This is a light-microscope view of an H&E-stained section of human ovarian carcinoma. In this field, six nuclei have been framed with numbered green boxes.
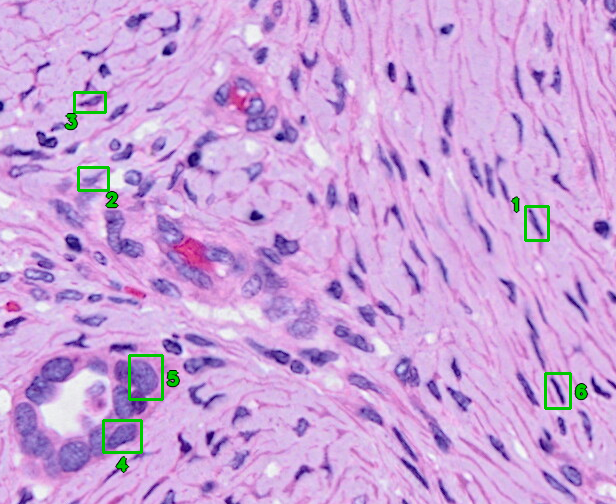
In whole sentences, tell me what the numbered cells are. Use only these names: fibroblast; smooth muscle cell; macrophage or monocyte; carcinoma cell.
Cell 1 is a fibroblast, cell 2 is a fibroblast, cell 3 is a fibroblast, cell 4 is a carcinoma cell, cell 5 is a carcinoma cell and cell 6 is a fibroblast.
